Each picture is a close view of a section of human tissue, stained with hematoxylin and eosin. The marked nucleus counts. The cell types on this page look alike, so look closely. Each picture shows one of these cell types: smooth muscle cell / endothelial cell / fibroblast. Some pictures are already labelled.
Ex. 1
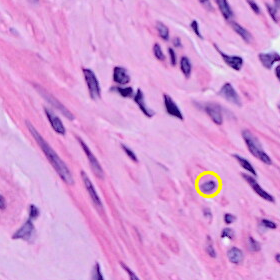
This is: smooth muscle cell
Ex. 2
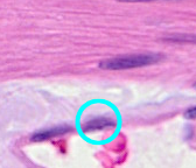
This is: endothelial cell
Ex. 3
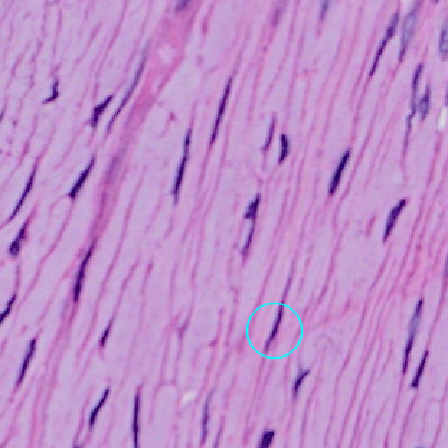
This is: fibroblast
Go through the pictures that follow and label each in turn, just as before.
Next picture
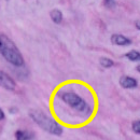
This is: smooth muscle cell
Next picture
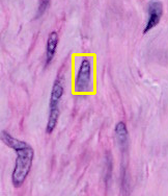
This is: smooth muscle cell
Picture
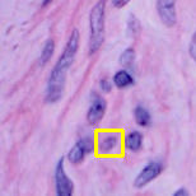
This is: smooth muscle cell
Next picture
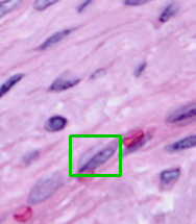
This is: endothelial cell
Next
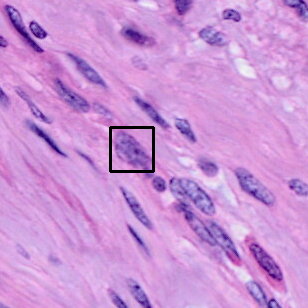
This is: endothelial cell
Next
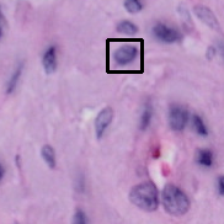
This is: fibroblast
